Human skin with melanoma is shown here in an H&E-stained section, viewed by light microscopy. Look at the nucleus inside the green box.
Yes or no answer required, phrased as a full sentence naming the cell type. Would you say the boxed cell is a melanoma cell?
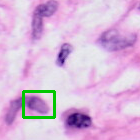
No, the boxed cell is put down as a macrophage or monocyte, not as a melanoma cell.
